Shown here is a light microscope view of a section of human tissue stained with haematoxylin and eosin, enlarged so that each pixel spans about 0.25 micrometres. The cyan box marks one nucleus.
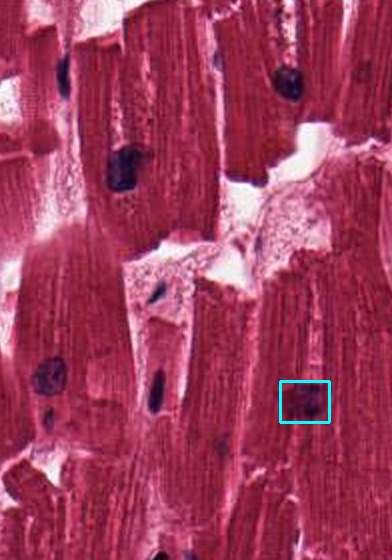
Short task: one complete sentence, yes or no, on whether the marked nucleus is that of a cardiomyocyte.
Yes, the cell that holds the marked nucleus is a cardiomyocyte.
